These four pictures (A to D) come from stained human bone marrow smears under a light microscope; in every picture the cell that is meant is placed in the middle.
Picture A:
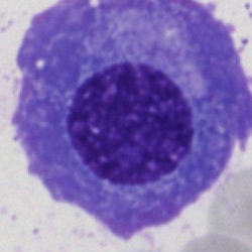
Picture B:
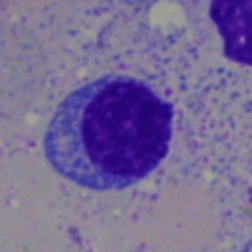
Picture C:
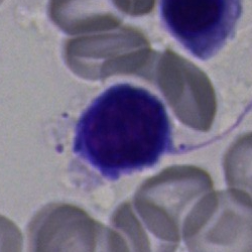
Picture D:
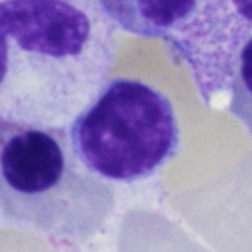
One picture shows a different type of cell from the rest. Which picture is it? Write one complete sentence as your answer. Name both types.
Picture A differs, because its cell is a plasma cell and the rest are lymphocytes.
